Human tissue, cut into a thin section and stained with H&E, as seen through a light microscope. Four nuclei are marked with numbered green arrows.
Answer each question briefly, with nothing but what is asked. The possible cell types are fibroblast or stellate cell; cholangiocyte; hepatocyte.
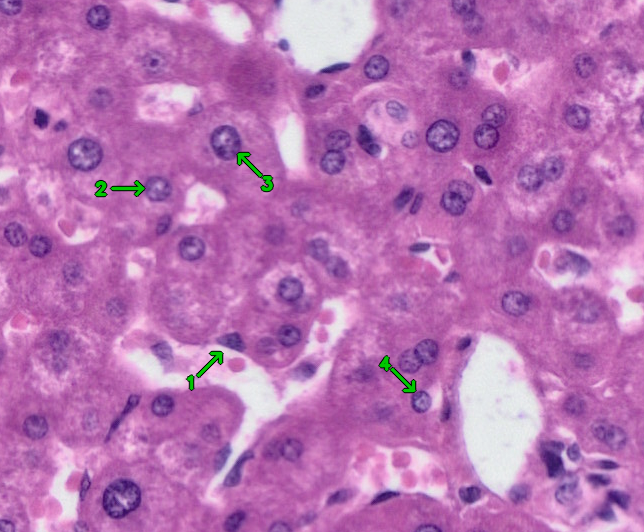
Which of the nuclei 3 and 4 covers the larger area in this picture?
3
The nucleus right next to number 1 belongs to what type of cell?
hepatocyte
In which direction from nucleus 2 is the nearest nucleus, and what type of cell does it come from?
a fibroblast or stellate cell; below nucleus 2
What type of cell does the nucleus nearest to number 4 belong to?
fibroblast or stellate cell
